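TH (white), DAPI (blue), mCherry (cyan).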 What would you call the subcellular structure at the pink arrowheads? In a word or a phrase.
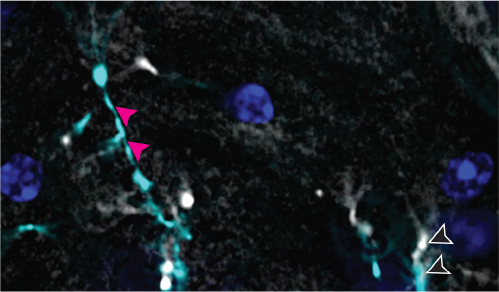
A: axonal regions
